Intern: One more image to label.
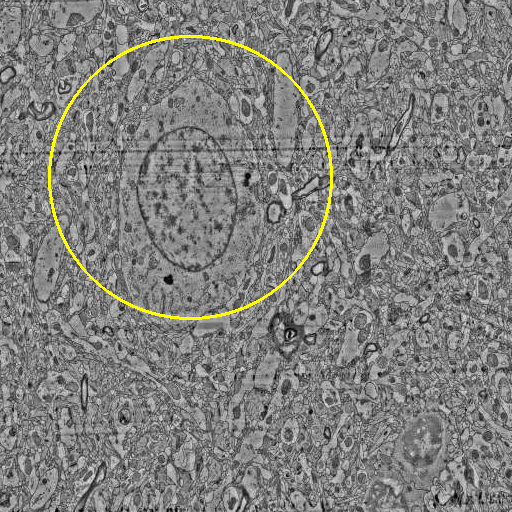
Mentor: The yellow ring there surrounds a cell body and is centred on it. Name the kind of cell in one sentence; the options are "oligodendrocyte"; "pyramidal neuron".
The ring marks the cell body of a pyramidal neuron.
